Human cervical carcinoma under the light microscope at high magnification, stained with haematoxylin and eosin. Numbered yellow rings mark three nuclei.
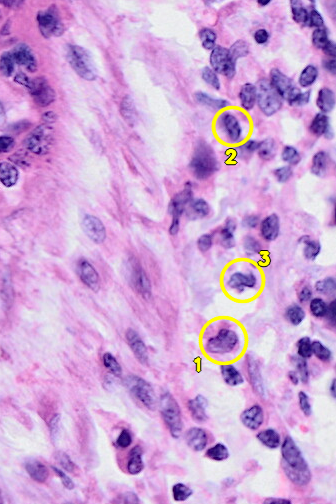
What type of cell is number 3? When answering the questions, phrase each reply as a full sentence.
Looking at the numbered marks, cell 3 is a lymphocyte.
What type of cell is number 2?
The nucleus labelled 2 belongs to a lymphocyte.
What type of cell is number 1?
That cell with number 1 is a macrophage or monocyte.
